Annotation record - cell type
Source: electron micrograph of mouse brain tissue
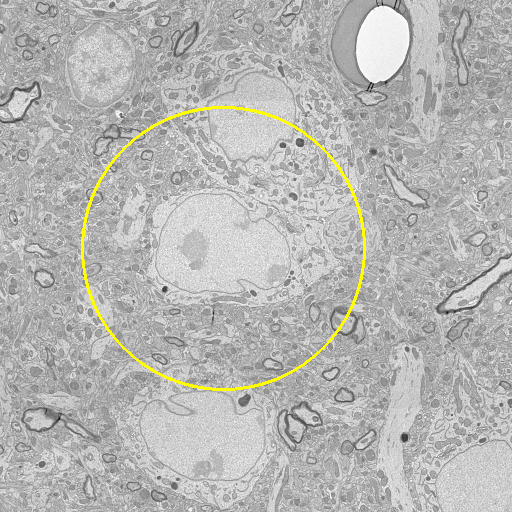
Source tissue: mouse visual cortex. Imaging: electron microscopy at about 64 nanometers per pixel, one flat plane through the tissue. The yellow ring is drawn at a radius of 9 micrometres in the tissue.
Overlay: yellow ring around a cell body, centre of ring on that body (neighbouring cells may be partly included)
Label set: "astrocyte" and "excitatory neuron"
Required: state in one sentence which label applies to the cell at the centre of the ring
This cell should be labelled as an excitatory neuron.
